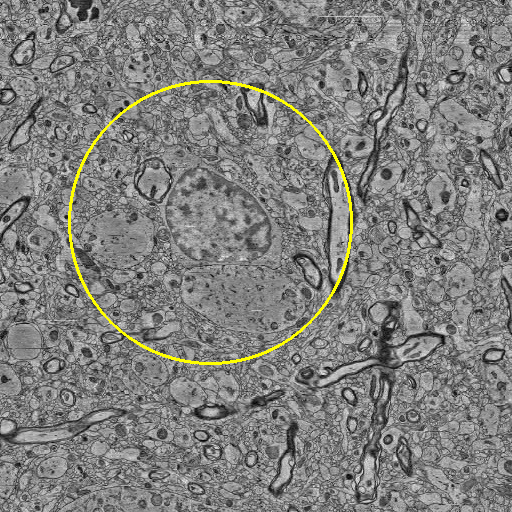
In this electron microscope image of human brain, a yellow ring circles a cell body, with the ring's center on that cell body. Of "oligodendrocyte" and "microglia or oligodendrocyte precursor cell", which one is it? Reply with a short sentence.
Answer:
It is an oligodendrocyte at the center of the ring.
